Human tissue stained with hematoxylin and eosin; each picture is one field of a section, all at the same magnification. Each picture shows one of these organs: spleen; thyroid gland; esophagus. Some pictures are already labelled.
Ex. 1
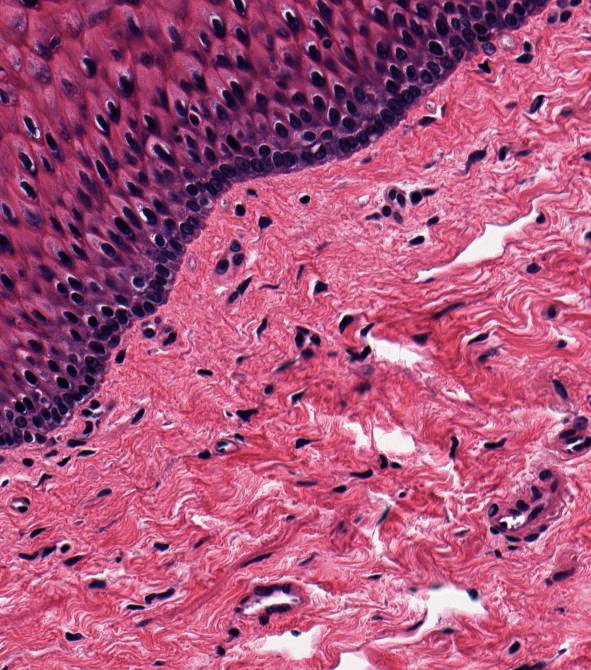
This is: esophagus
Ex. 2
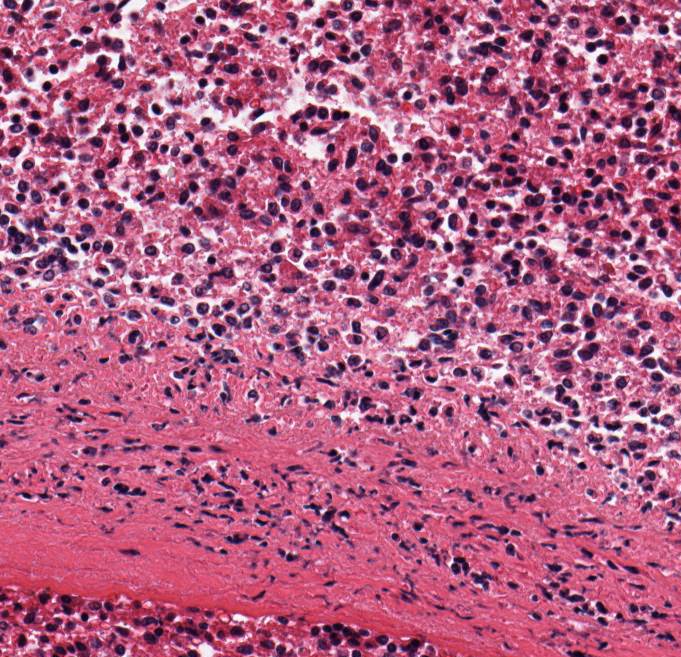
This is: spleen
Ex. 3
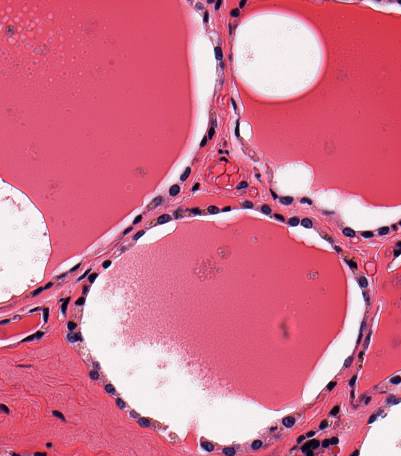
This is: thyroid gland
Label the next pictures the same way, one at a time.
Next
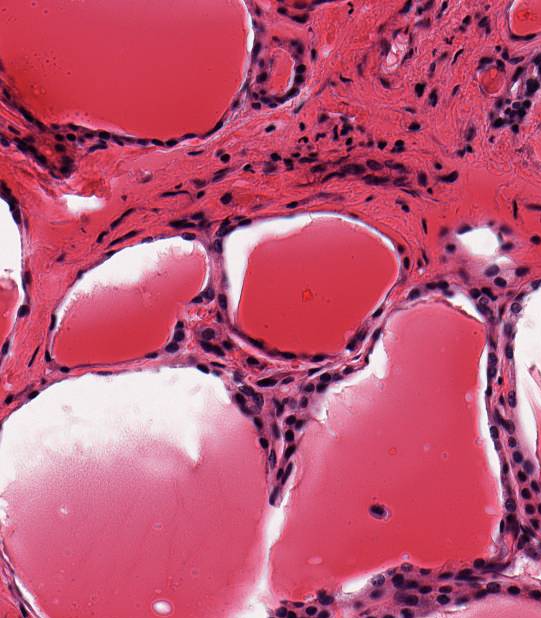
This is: thyroid gland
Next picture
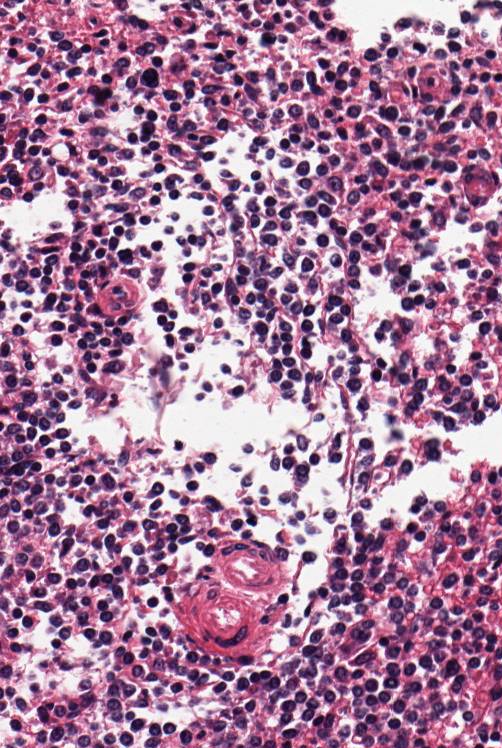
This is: spleen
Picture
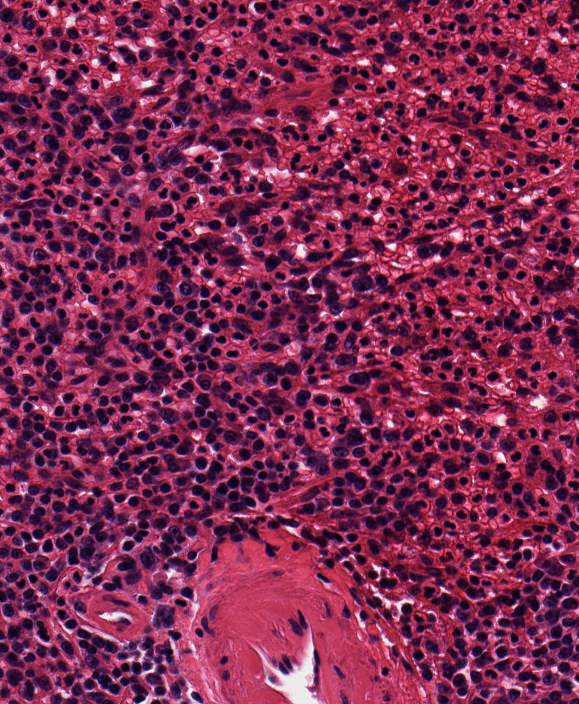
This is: spleen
